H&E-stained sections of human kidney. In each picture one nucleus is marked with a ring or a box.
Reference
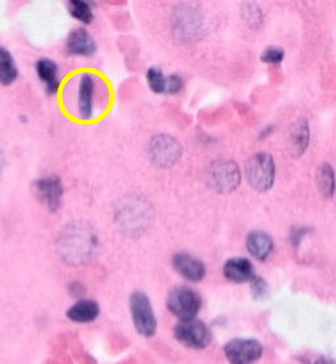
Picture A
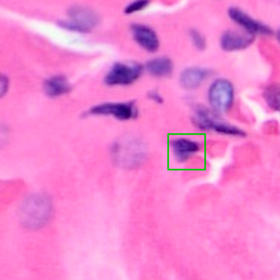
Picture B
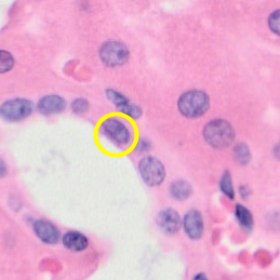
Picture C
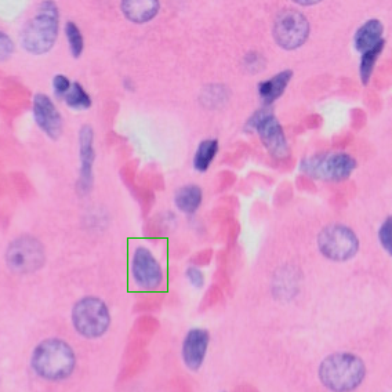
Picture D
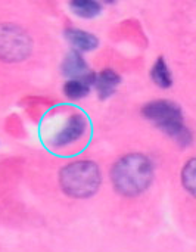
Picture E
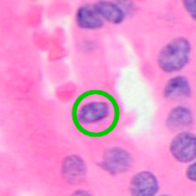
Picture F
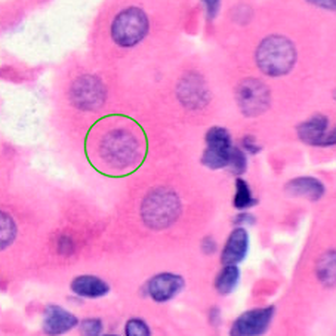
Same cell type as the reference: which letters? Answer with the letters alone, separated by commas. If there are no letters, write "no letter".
A, C, D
